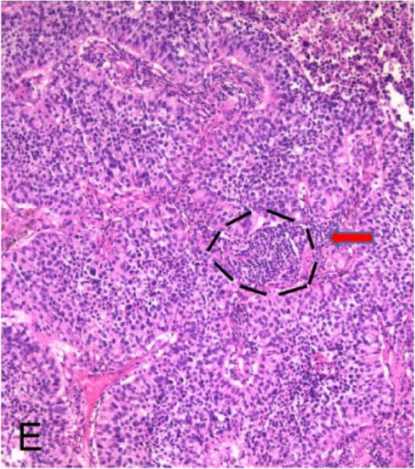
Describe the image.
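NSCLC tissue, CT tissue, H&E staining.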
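The tumor cells form solid nests of larger cells with purple nuclei and pinkish cytoplasm, divided by thin pink fibrous septa. The outlined aggregate is a compact oval cluster of small lymphoid cells with dark round nuclei, clearly denser and smaller-celled than the surrounding tumor. Red blood cells are seen in the upper right corner.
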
